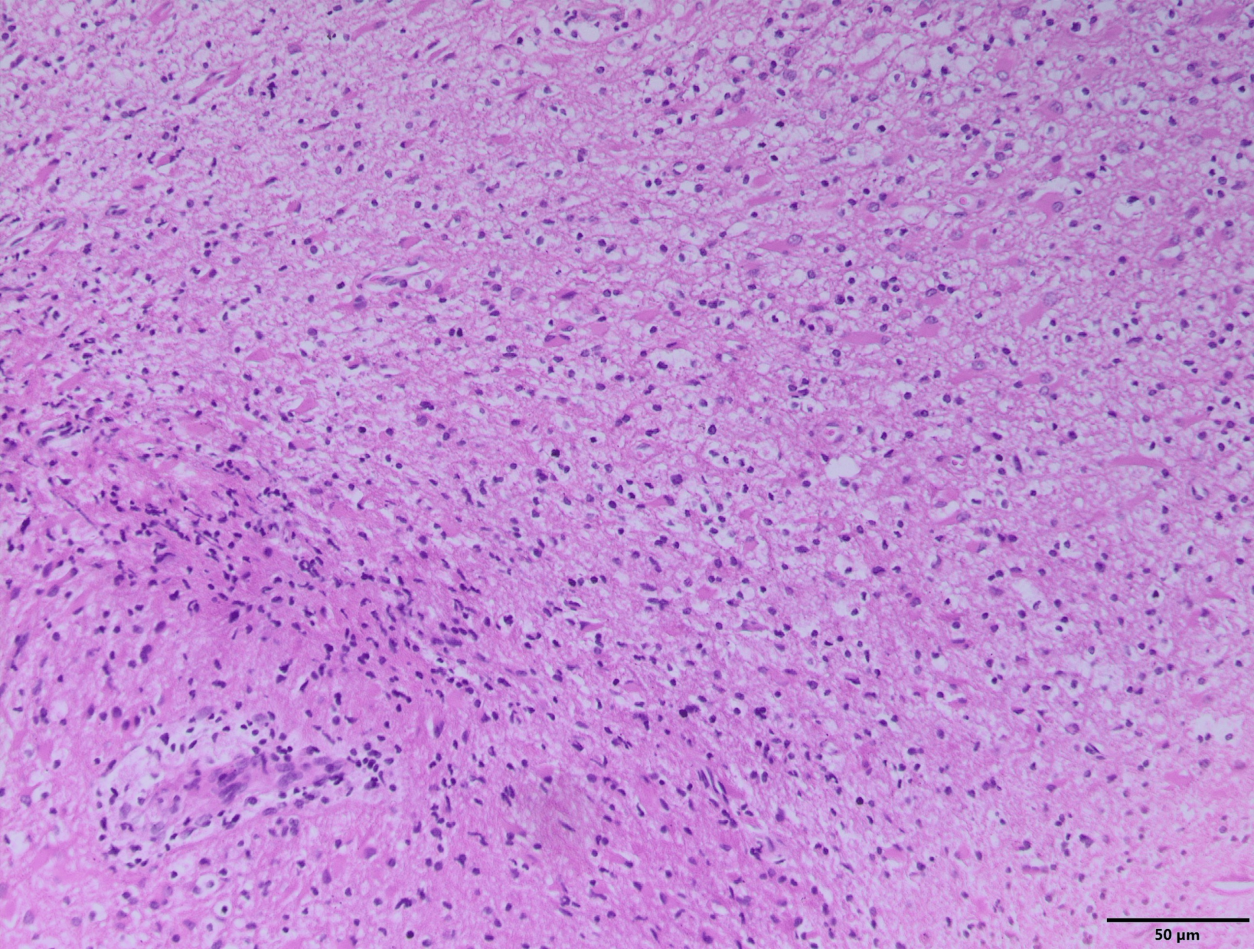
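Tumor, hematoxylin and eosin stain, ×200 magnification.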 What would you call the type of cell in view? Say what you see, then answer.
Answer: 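Glial cells. Small, dark, round to elongated nuclei of similar size throughout. Cells set singly within a fibrillary pink matrix rather than in sheets or glands. Some cells show small pink cytoplasm drawn out into processes.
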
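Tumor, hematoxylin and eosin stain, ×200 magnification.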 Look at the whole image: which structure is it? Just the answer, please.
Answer: Fibrillary stroma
